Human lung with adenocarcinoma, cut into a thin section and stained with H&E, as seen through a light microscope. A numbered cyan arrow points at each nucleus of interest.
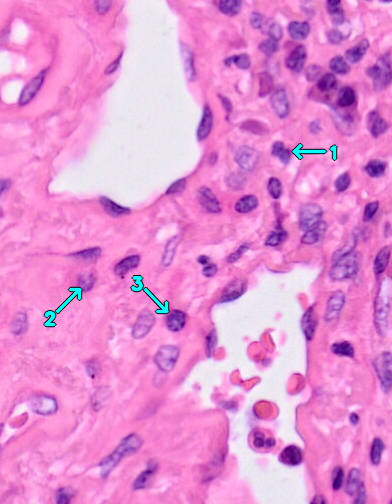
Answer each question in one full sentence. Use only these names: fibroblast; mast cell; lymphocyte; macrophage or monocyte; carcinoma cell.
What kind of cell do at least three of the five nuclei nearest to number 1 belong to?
Fibroblasts account for more than half of the five nuclei nearest to number 1.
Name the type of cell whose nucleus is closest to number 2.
Closest to number 2 lies the nucleus of a fibroblast.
